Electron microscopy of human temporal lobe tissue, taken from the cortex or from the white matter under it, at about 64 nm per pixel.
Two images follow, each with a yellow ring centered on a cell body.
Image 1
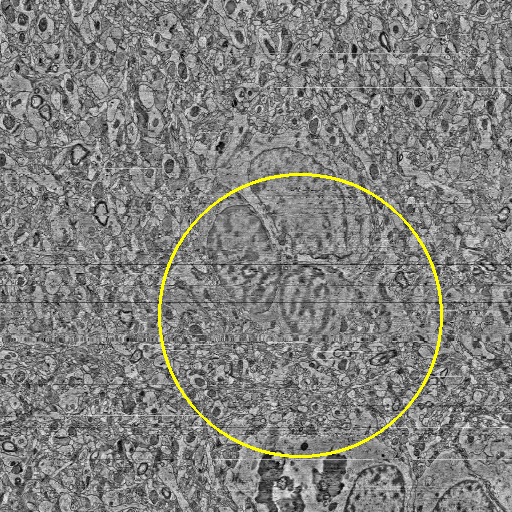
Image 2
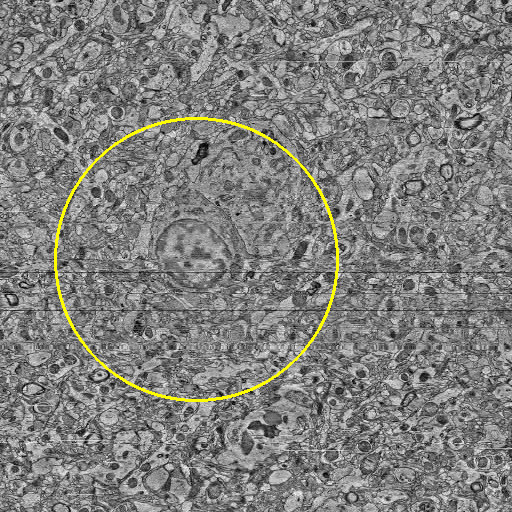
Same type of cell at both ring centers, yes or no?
yes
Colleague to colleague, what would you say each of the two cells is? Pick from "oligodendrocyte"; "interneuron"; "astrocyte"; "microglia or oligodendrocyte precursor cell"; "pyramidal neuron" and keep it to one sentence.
The cell in the first picture is an oligodendrocyte, and so is the one in the second.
